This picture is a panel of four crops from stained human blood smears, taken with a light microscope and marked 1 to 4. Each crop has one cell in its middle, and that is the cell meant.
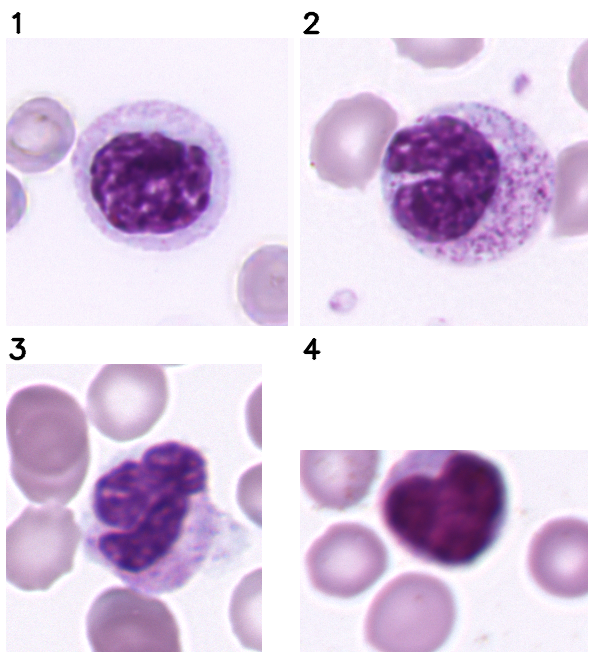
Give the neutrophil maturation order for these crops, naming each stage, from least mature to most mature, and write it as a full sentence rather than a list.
The correct order, least to most mature, is crop 4 (a myeloblast), crop 1 (a metamyelocyte), crop 2 (a band neutrophil) and crop 3 (a segmented neutrophil).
